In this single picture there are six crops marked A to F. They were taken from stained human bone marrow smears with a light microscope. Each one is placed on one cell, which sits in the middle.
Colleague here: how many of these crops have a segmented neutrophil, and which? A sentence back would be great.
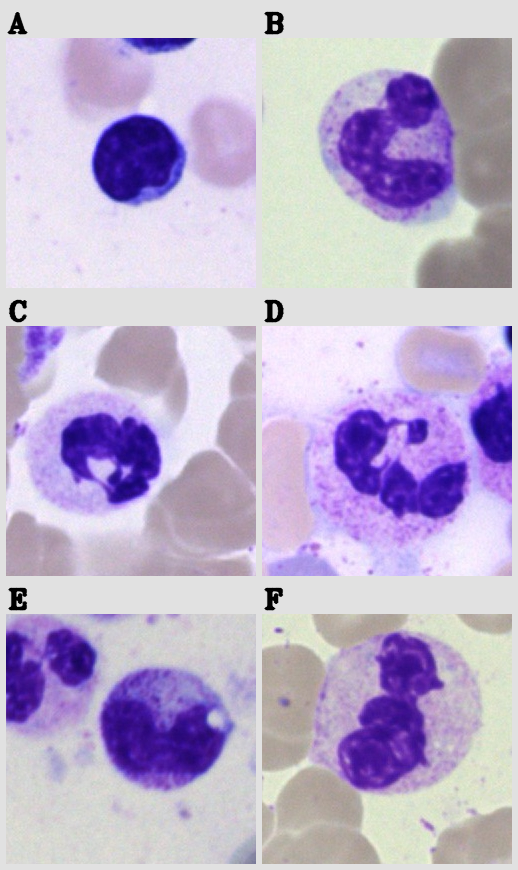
Here, four crops in all show segmented neutrophils: B, C, D and F.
